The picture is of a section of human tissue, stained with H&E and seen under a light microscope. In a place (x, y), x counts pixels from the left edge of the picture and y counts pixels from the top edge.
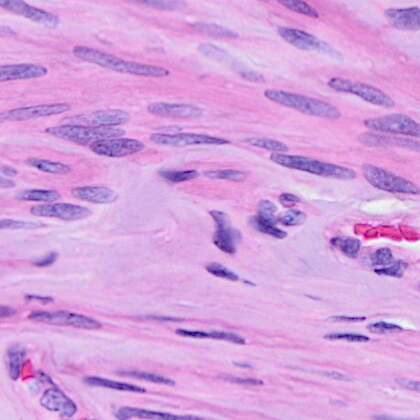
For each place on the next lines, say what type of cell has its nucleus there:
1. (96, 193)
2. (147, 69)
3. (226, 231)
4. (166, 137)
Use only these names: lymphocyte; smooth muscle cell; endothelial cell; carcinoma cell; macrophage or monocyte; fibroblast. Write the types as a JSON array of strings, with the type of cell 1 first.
["smooth muscle cell", "smooth muscle cell", "fibroblast", "smooth muscle cell"]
